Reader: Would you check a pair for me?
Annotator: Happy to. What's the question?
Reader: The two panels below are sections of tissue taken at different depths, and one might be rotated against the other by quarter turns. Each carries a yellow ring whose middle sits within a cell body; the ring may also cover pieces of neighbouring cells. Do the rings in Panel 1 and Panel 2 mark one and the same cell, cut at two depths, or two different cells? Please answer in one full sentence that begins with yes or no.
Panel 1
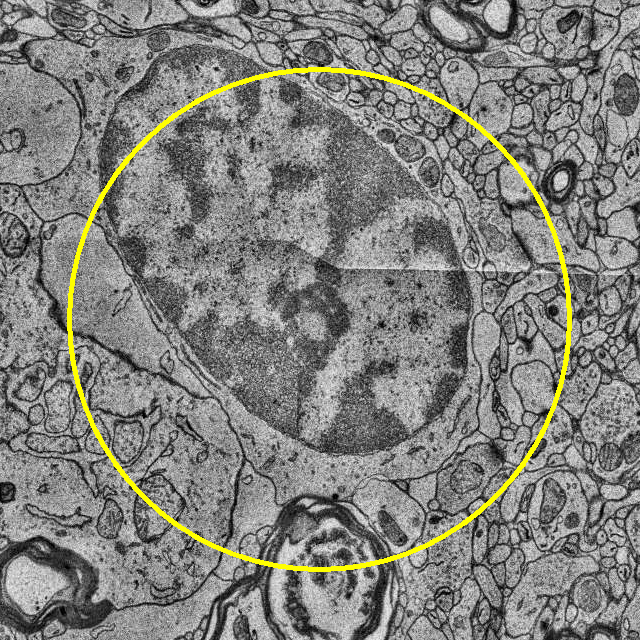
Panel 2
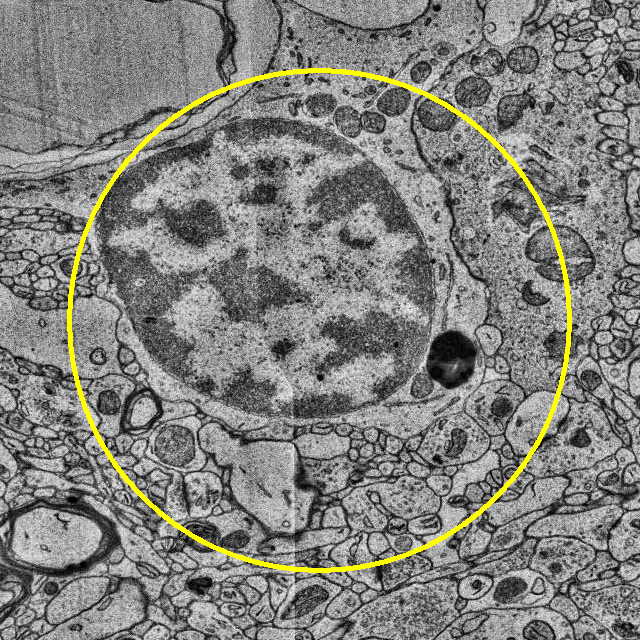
No, the two rings mark two different cells.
